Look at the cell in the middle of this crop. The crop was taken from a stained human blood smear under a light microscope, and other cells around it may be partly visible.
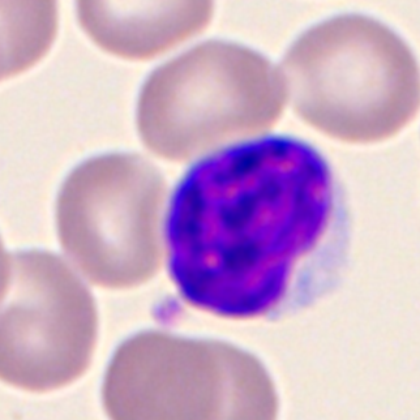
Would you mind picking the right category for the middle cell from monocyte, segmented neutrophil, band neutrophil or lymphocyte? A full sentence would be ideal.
The cell sitting right in the middle is a lymphocyte.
